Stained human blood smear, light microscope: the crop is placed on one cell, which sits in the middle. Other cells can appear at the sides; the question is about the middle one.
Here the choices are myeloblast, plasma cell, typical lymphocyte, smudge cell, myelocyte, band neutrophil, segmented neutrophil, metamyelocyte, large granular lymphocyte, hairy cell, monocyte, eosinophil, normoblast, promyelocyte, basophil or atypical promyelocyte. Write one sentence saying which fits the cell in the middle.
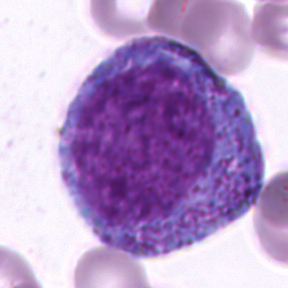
The cell around which this crop is centred is a promyelocyte.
